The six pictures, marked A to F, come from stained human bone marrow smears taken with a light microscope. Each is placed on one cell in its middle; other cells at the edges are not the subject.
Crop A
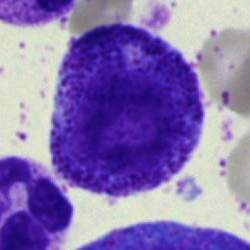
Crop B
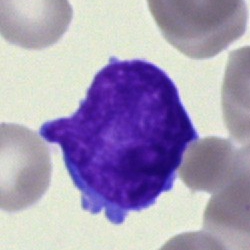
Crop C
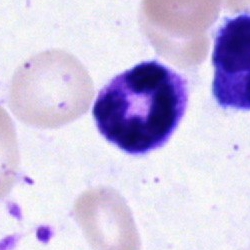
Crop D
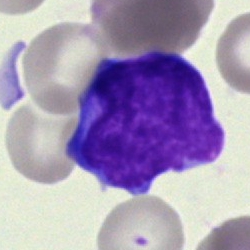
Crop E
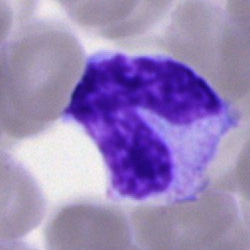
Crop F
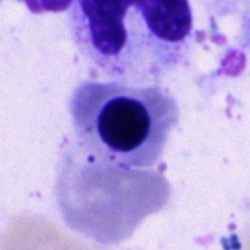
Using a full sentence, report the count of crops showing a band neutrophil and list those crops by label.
The one crop that shows a band neutrophil is crop E.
